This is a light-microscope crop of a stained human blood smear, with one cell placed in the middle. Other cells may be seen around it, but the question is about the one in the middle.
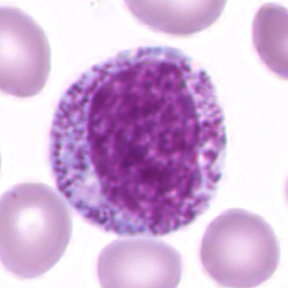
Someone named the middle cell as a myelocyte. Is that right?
yes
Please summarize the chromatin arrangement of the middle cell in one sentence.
Thanks for asking; the chromatin is coarsely clumped.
